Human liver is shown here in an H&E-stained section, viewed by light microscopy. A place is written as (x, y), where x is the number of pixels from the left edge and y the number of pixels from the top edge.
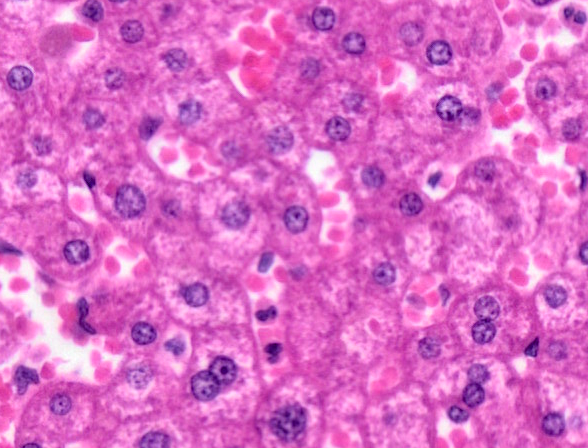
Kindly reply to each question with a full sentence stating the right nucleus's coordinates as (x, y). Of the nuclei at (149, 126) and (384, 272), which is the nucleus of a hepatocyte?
Only the nucleus at (384, 272), of the two, belongs to a hepatocyte.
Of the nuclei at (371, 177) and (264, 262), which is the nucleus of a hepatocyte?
Of the two nuclei, that at (371, 177) is the nucleus of a hepatocyte.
